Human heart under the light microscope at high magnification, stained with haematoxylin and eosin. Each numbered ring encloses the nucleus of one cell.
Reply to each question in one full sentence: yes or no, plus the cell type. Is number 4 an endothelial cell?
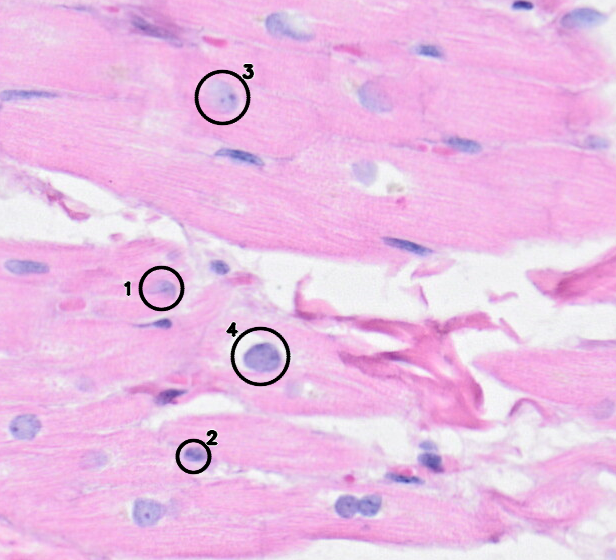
No, it is a cardiomyocyte, not an endothelial cell, that number 4 marks.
